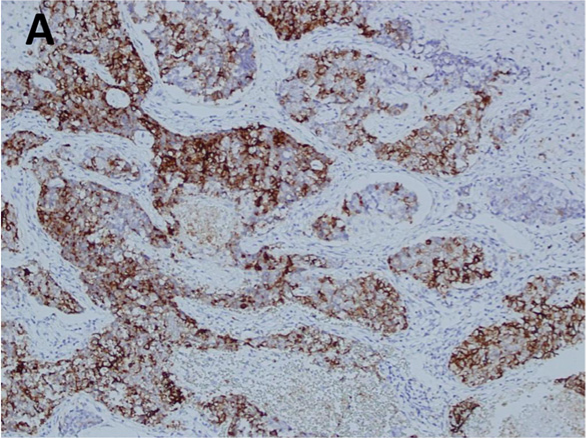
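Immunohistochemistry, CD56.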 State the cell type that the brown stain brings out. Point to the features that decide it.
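Cells lie packed in solid nests separated by bands of pale fibrous stroma. The spindle cells of the stroma stay blue and unstained.
Conclusion: tumor cells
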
